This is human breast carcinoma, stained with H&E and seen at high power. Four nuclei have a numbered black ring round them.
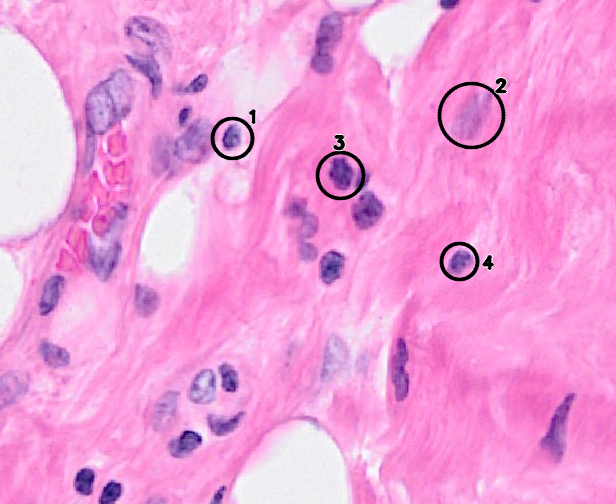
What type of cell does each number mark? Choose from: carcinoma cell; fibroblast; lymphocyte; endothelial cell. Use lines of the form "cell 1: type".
cell 1: lymphocyte
cell 2: fibroblast
cell 3: lymphocyte
cell 4: lymphocyte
